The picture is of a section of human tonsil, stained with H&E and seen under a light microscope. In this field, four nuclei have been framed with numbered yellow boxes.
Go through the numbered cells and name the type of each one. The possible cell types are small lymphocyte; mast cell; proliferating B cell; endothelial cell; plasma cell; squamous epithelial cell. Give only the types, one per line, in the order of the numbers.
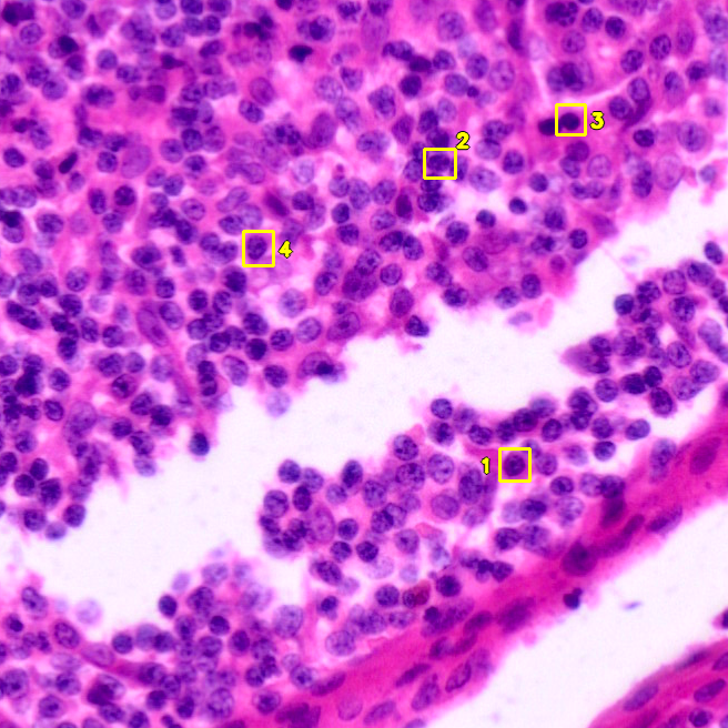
plasma cell
small lymphocyte
plasma cell
plasma cell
